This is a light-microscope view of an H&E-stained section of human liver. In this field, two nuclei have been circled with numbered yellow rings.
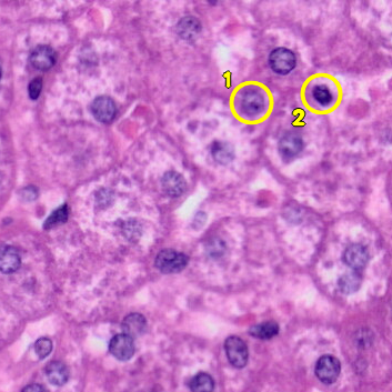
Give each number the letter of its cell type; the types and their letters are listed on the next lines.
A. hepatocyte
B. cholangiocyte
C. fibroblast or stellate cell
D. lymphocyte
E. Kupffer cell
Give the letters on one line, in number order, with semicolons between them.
A; D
